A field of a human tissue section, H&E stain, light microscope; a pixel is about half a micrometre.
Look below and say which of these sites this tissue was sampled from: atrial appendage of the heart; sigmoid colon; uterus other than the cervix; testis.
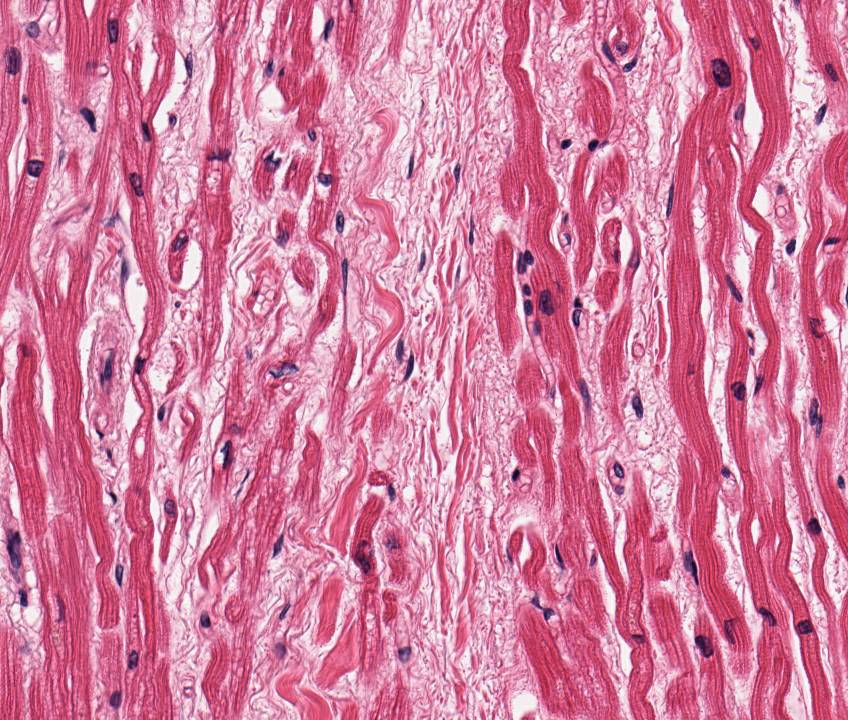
atrial appendage of the heart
